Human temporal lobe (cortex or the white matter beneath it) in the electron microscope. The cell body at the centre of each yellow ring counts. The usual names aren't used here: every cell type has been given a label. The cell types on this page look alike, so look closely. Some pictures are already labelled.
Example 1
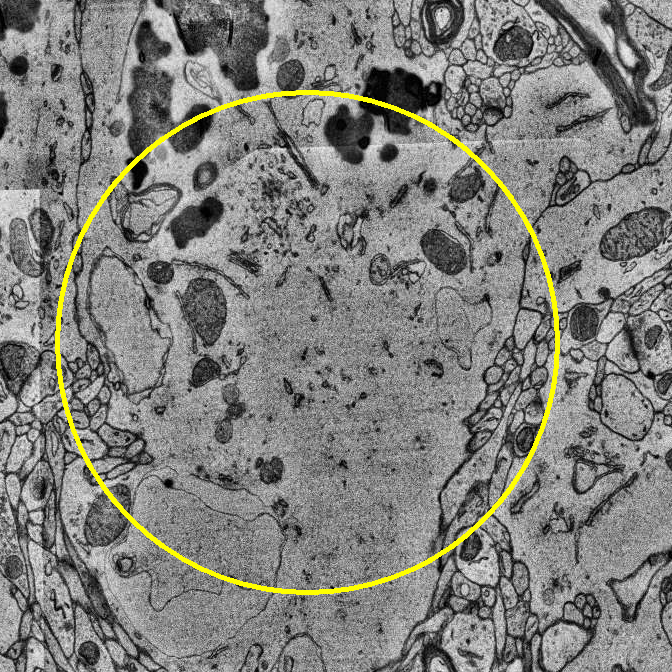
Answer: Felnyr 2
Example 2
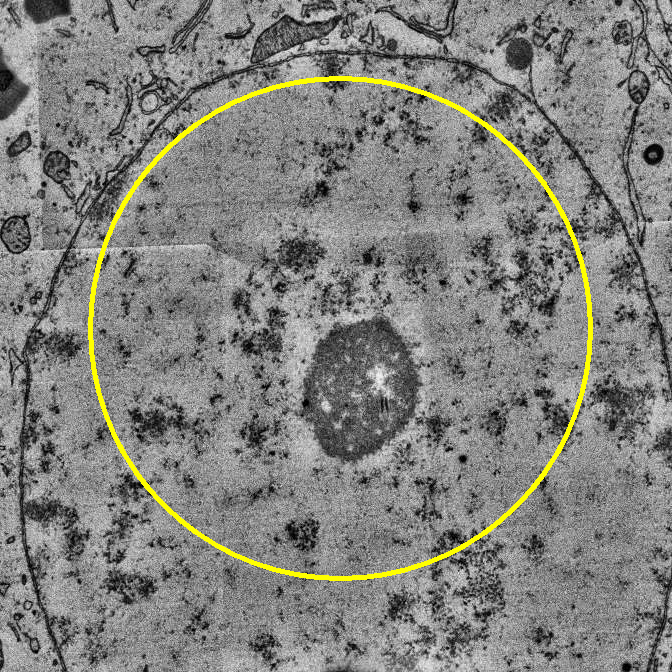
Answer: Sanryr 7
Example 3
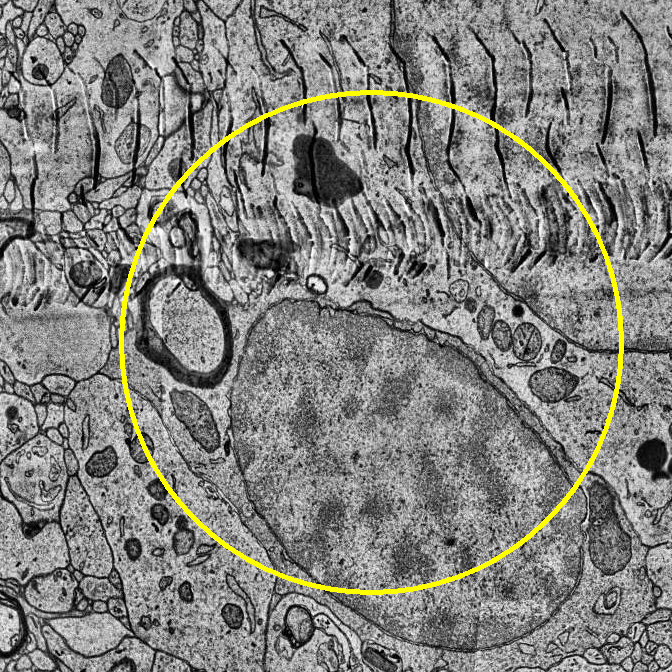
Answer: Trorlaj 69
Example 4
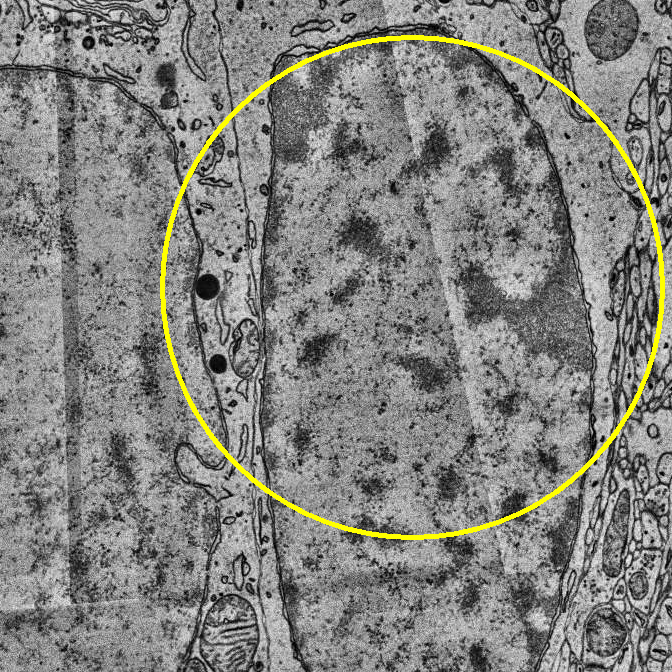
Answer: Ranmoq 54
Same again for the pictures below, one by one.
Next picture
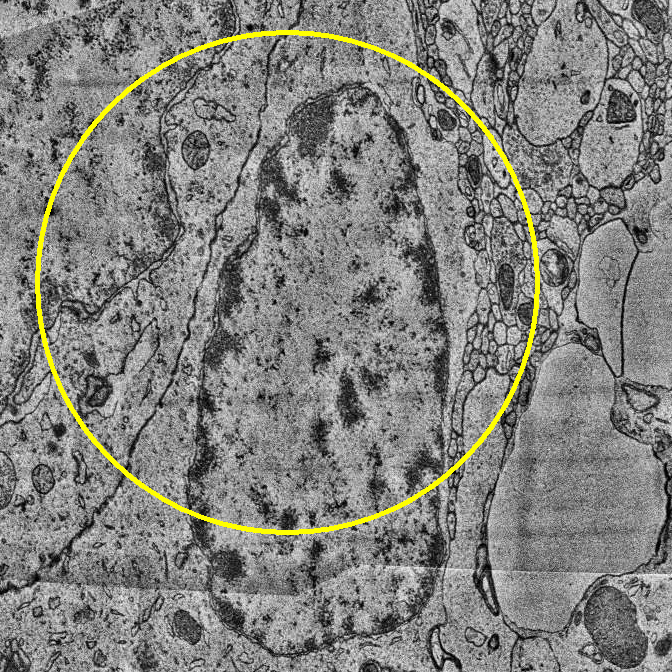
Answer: Ranmoq 54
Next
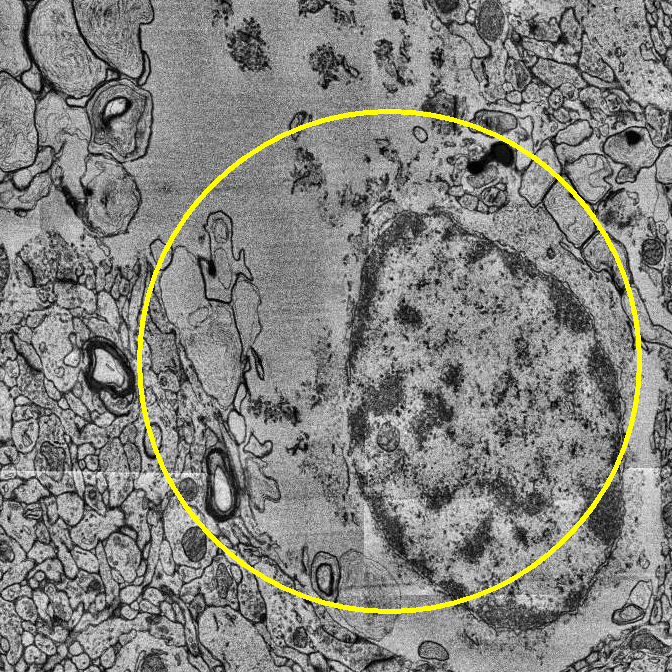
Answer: Ranmoq 54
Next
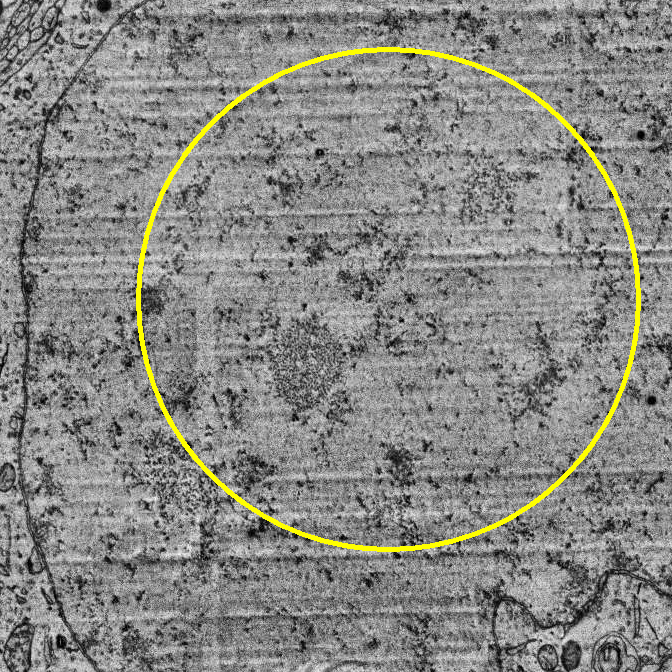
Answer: Sanryr 7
